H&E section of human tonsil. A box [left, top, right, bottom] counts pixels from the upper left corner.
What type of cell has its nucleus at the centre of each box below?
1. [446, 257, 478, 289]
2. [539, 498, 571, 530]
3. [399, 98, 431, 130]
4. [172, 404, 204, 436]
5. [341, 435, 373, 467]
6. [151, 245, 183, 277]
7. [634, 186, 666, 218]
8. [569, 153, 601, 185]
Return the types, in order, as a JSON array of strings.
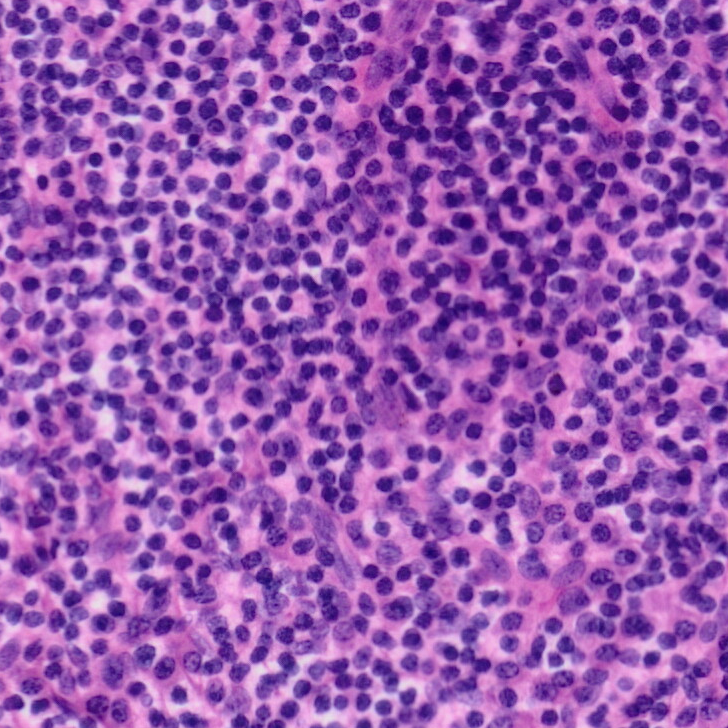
["plasma cell", "plasma cell", "small lymphocyte", "small lymphocyte", "small lymphocyte", "small lymphocyte", "small lymphocyte", "plasma cell"]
